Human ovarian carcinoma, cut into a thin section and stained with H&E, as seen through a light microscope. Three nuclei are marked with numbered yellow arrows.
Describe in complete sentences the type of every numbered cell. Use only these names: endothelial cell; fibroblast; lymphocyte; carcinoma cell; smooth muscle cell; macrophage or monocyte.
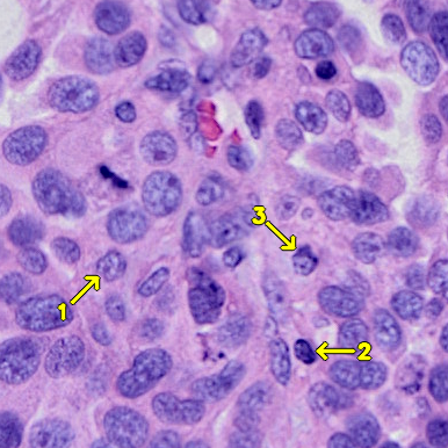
Cell 1 is a fibroblast, cell 2 is a lymphocyte and cell 3 is a macrophage or monocyte.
